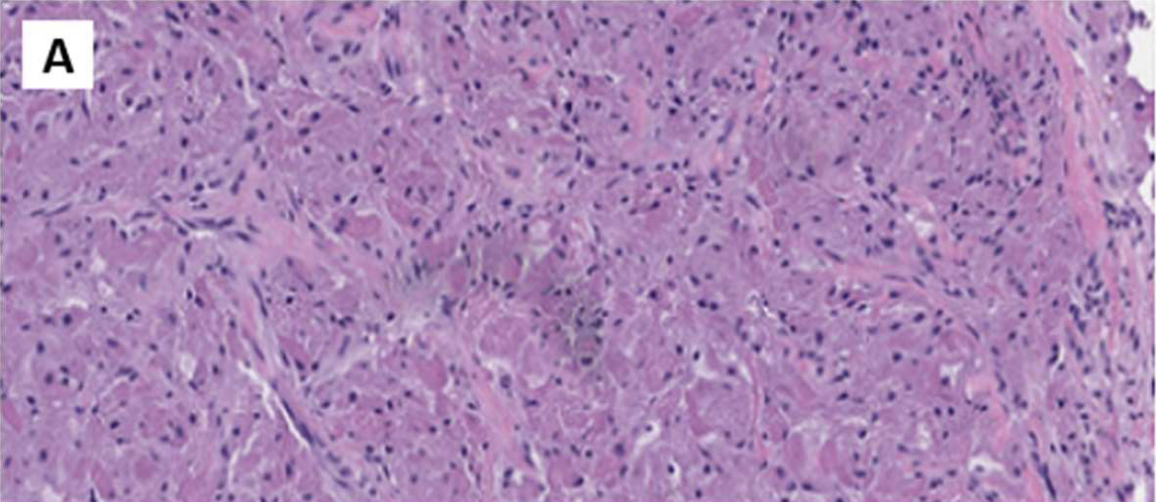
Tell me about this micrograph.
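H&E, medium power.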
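This is a tumor made of large, polygonal cells arranged in sheets and nests. The cells have abundant pink cytoplasm with a fine granular texture, and their cell borders are indistinct in places, so the cells merge into broad fields. Nuclei are small relative to the cytoplasm, round to oval, and scattered singly through the sheets without crowding or obvious pleomorphism. Thin strands of paler, more fibrillar pink tissue with elongated nuclei run between the nests, dividing the tumor into irregular lobules. No glands or lumens are formed, and the overall picture is of bland, cytoplasm-rich cells filling the tissue.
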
